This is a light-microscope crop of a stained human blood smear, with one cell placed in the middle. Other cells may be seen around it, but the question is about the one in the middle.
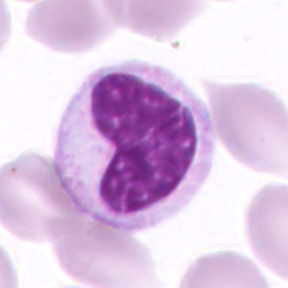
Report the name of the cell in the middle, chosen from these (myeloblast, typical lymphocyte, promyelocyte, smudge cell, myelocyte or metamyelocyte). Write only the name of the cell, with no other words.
metamyelocyte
